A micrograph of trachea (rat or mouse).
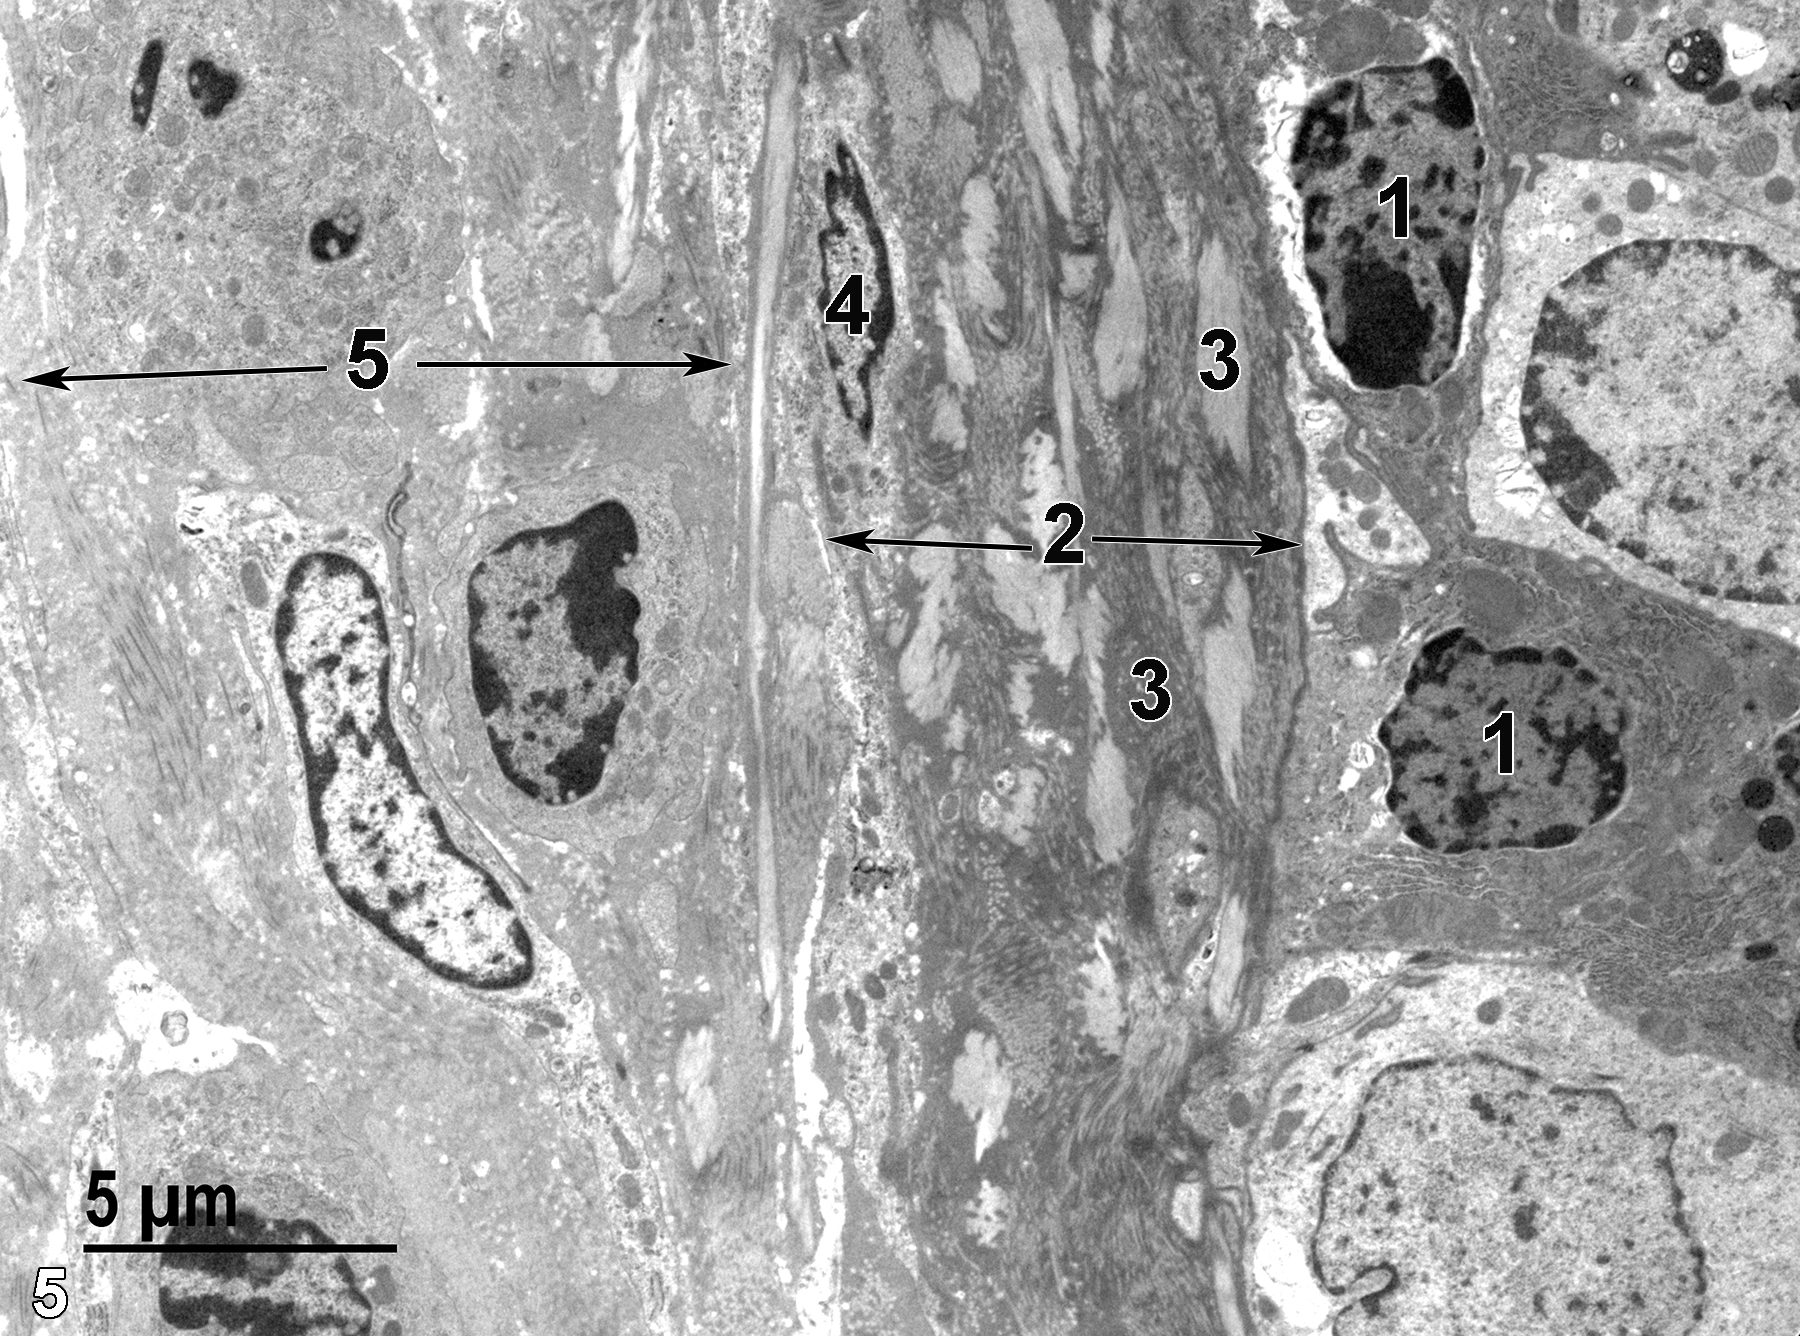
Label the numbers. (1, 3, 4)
1 - nuclei of two basal cells
3 - bundles of collagen fibrils
4 - fibroblast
